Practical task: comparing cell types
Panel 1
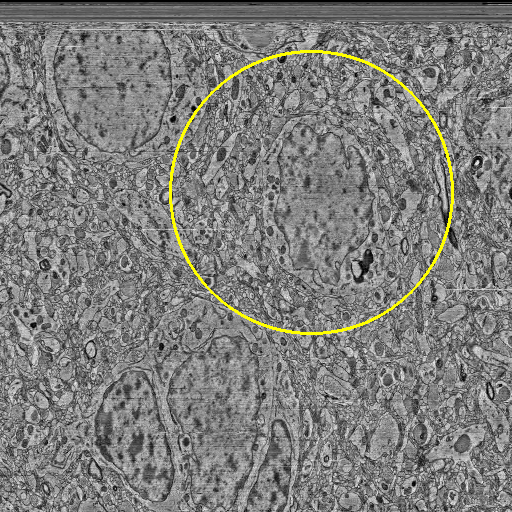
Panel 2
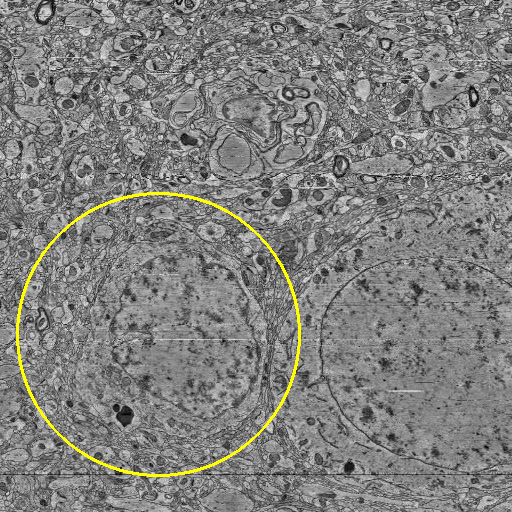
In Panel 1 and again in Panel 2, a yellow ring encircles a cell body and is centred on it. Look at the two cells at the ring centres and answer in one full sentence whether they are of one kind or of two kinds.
The two cells sitting at the ring centres of Panels 1 and 2 are of one kind.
